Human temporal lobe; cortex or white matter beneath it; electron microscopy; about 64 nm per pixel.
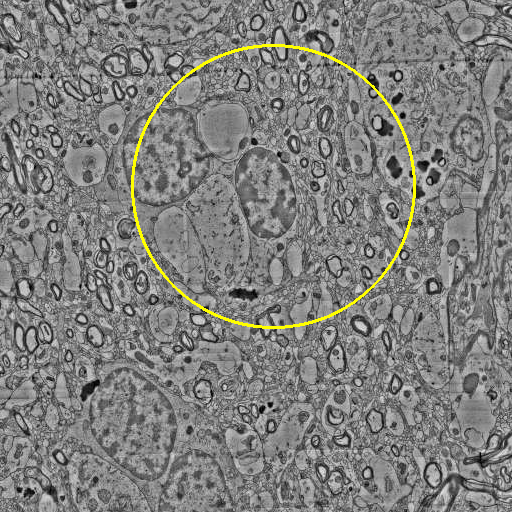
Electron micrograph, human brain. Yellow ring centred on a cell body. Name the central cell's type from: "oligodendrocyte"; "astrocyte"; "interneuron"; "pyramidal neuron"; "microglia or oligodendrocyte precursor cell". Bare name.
microglia or oligodendrocyte precursor cell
